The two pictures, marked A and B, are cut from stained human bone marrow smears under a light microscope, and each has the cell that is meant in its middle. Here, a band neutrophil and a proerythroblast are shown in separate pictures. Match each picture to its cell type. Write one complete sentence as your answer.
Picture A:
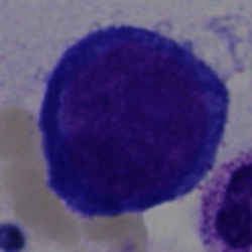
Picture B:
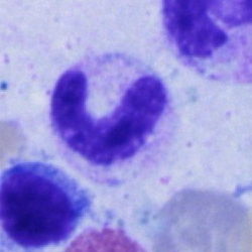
Picture B shows a band neutrophil, while picture A shows a proerythroblast.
